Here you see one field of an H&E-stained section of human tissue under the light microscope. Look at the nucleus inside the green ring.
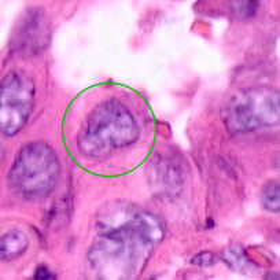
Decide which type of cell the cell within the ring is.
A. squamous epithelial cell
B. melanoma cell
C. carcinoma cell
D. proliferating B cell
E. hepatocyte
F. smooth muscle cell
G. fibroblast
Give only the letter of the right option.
C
